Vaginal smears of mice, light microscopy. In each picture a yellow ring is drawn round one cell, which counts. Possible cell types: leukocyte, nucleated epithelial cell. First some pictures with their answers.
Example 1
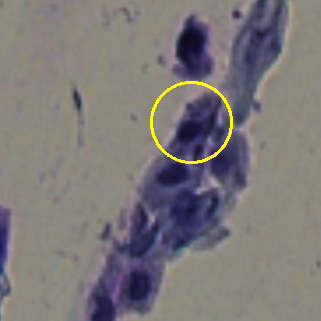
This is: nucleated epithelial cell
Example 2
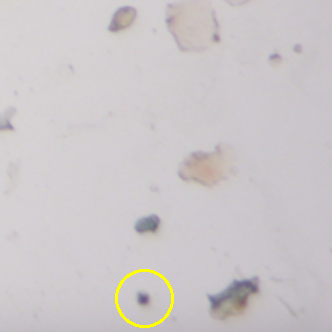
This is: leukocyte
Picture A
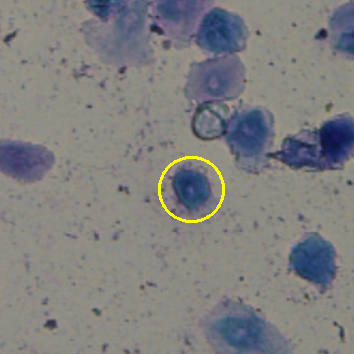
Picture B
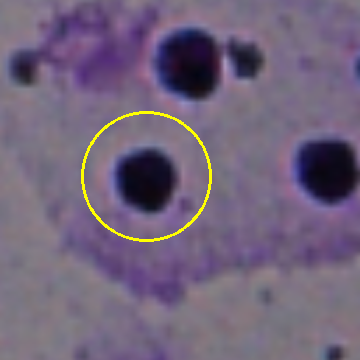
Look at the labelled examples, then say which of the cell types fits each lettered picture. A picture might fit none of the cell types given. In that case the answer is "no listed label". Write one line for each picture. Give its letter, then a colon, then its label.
A: nucleated epithelial cell
B: leukocyte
